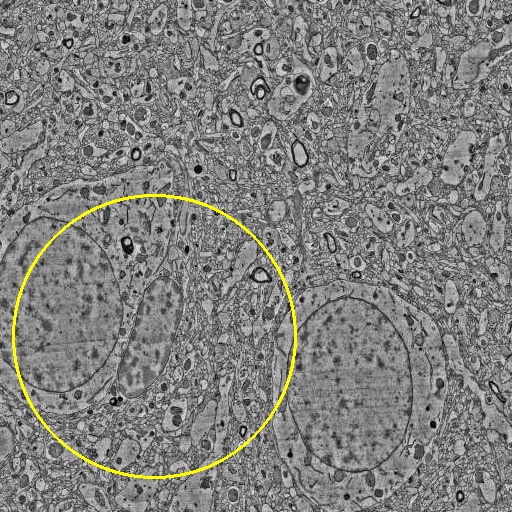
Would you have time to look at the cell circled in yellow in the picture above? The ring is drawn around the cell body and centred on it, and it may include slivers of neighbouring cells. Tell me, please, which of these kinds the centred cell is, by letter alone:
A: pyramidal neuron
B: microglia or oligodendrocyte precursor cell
B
